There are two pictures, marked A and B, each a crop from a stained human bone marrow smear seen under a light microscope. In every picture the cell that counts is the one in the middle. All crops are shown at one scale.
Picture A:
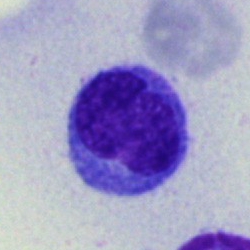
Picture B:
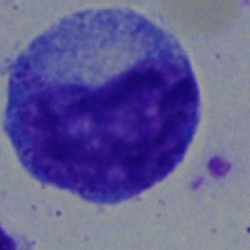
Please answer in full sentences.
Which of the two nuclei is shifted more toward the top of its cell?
Seen within its cell, the nucleus in picture A lies further toward the top.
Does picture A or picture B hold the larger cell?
The cell in picture B is larger, with about 2.5 times the area of the one in picture A.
